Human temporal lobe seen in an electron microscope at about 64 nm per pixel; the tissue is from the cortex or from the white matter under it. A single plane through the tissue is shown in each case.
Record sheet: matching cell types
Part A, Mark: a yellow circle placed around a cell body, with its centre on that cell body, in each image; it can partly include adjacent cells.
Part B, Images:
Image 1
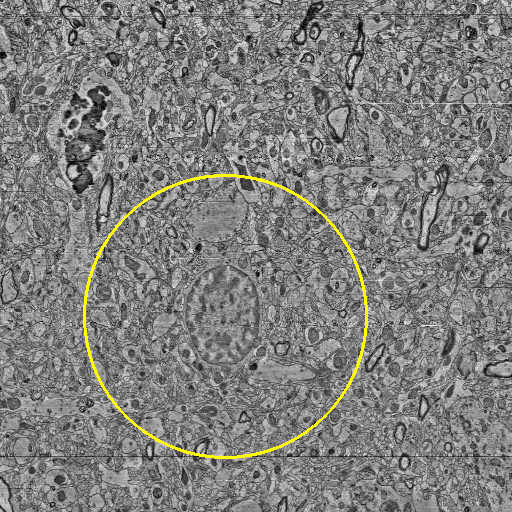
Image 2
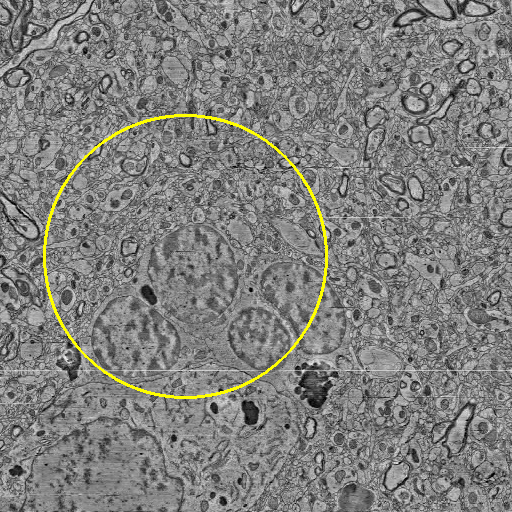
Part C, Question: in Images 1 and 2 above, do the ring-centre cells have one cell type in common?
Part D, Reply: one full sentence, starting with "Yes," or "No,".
Yes, the ring-centre cells of Image 1 and Image 2 are both of a single cell type.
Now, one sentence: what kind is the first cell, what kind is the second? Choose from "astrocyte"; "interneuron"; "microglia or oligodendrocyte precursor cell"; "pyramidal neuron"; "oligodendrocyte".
The cell in the first picture is an oligodendrocyte, and so is the one in the second.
